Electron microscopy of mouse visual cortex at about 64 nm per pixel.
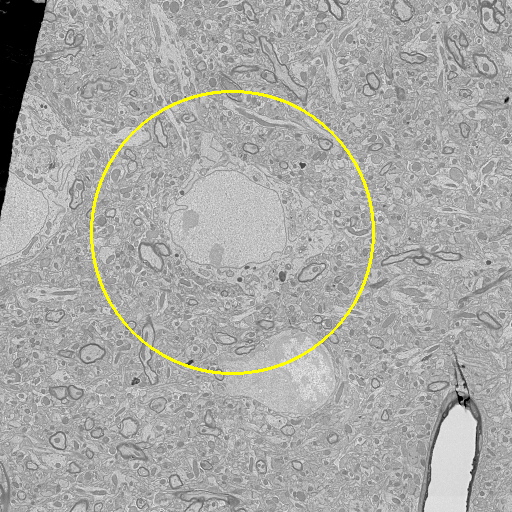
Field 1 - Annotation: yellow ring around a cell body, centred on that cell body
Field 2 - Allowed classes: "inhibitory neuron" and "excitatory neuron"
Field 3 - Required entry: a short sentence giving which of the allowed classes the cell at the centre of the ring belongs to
The centred cell is an excitatory neuron.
